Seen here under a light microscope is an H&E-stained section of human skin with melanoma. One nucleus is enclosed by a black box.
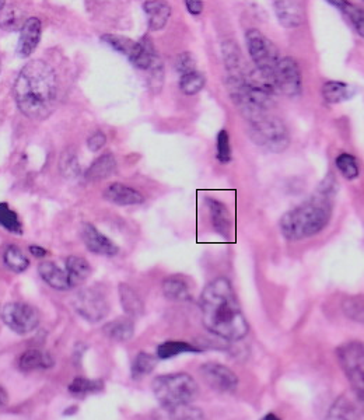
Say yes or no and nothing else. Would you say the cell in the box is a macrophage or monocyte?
yes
